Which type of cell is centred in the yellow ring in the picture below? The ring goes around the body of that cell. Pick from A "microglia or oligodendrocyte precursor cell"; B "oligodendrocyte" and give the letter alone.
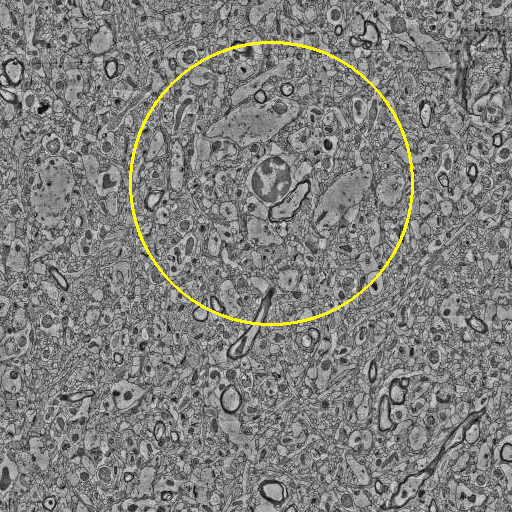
A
